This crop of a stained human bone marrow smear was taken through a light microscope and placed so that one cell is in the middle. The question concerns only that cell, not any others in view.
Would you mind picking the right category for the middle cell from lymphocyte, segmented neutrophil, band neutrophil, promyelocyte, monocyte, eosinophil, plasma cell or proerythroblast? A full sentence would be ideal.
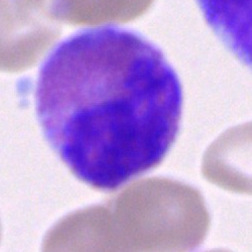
Classification of the middle cell gives an eosinophil.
